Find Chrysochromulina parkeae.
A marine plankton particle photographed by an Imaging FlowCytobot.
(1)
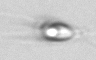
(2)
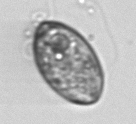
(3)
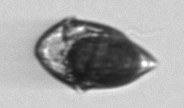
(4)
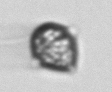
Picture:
1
